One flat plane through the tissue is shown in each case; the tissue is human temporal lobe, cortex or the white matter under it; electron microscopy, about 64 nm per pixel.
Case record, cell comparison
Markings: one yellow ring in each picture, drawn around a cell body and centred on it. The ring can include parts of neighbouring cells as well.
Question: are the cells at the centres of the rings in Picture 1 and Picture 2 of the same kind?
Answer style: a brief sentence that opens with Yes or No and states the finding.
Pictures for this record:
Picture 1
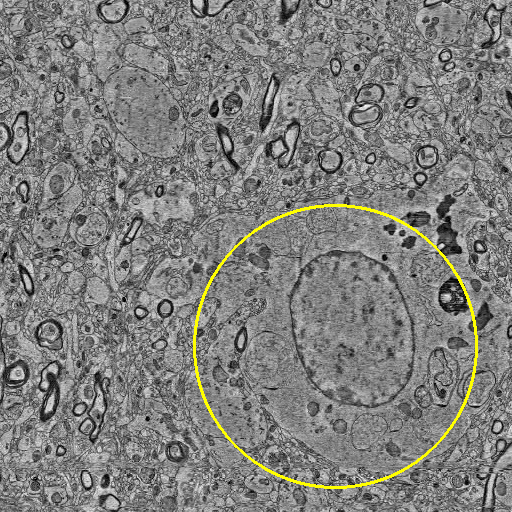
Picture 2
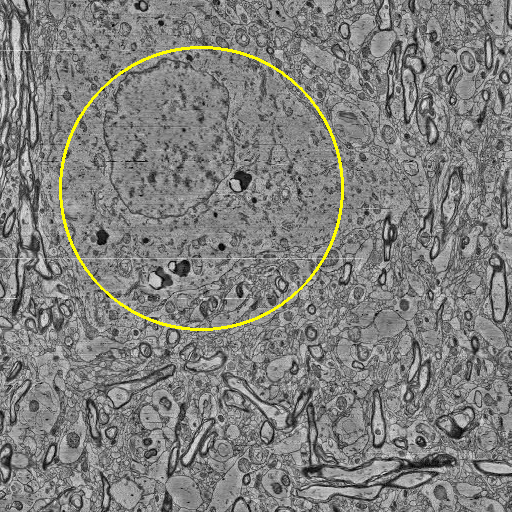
No, the cells in Picture 1 and Picture 2 are of two kinds.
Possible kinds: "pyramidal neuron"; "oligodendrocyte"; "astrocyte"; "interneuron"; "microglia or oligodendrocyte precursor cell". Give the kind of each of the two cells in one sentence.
The cell in the second picture is a pyramidal neuron, and that in the first is an astrocyte.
